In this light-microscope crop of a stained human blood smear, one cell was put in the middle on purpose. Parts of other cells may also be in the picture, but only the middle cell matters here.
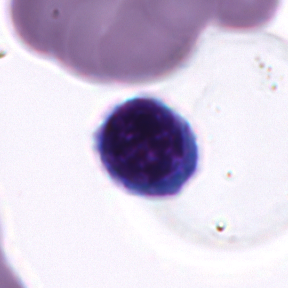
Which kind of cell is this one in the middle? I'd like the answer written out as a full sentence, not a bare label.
The crop shows a plasma cell in its centre.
